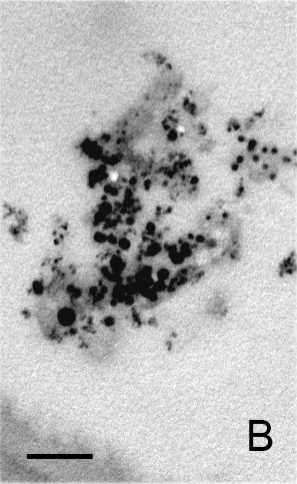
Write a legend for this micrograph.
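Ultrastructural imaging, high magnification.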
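Numerous round, very electron-dense dots of varying size are clustered into irregular clumps. They lie within a paler, grey, loosely textured material against a light background. A darker, denser region is seen at one corner of the field.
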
